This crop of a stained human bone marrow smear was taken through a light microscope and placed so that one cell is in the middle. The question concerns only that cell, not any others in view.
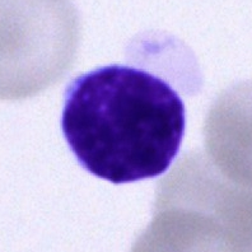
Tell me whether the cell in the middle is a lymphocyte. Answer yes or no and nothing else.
yes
